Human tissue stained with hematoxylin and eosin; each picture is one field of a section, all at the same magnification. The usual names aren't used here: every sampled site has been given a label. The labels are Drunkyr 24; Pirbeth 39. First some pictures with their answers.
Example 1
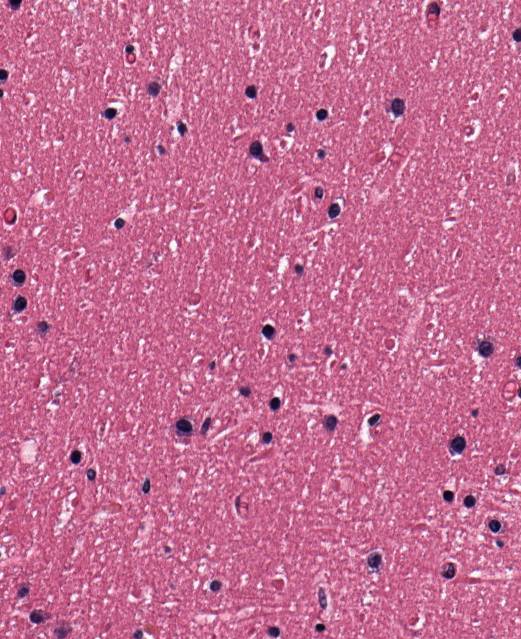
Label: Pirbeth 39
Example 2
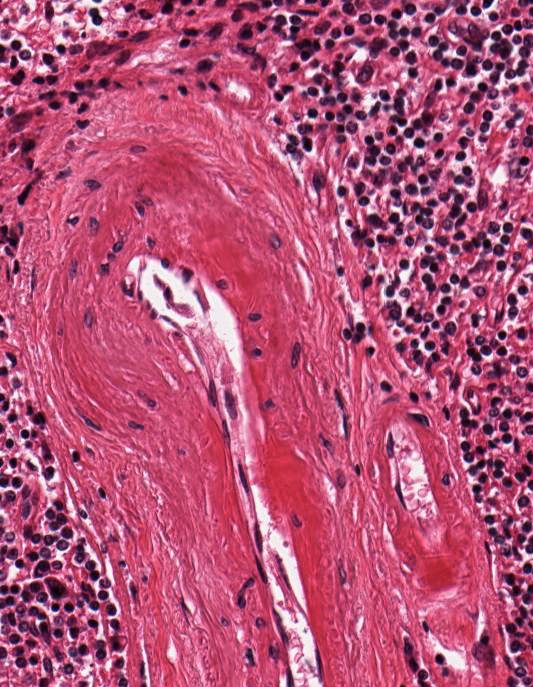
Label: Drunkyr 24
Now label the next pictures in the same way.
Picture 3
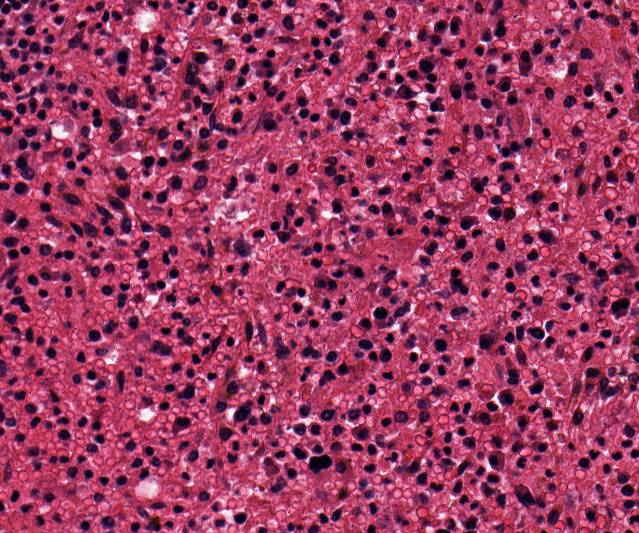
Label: Drunkyr 24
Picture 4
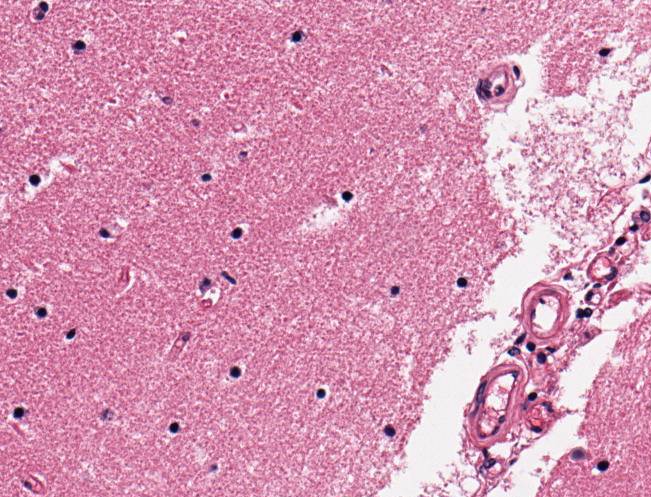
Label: Pirbeth 39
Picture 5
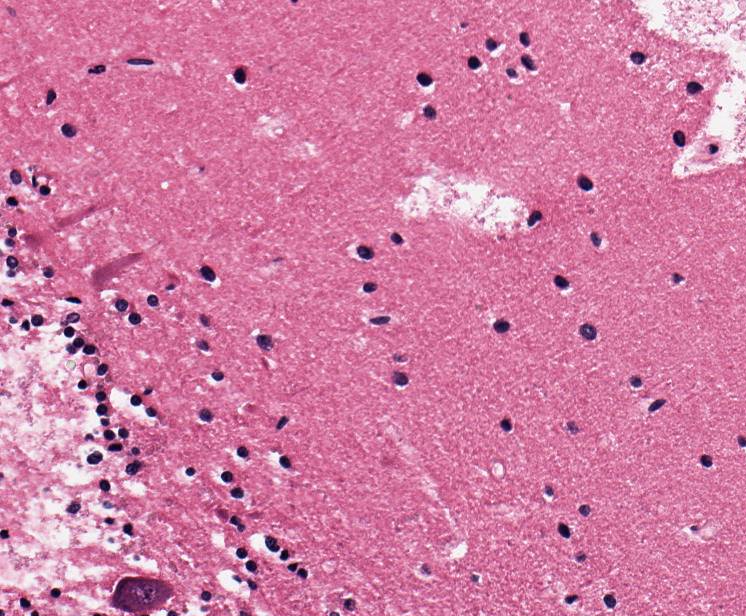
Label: Pirbeth 39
